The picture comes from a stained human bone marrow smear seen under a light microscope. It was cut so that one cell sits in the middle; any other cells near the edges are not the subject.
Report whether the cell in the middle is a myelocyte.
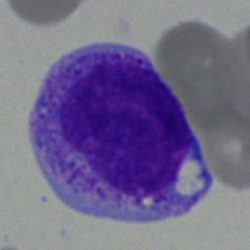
yes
